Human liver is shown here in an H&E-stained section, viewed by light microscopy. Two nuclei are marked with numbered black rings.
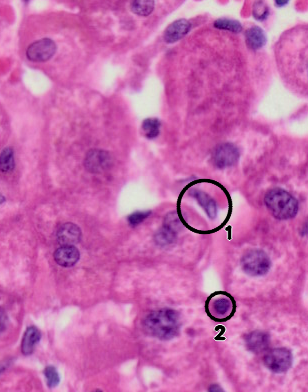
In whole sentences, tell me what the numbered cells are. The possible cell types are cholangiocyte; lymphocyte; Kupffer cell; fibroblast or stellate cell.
Cell 1 is a Kupffer cell. Cell 2 is a fibroblast or stellate cell.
